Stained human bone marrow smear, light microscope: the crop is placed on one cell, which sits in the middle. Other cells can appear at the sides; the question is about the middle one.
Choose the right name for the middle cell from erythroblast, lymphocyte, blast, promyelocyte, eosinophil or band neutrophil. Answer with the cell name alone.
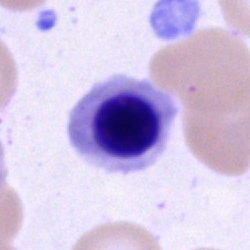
erythroblast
